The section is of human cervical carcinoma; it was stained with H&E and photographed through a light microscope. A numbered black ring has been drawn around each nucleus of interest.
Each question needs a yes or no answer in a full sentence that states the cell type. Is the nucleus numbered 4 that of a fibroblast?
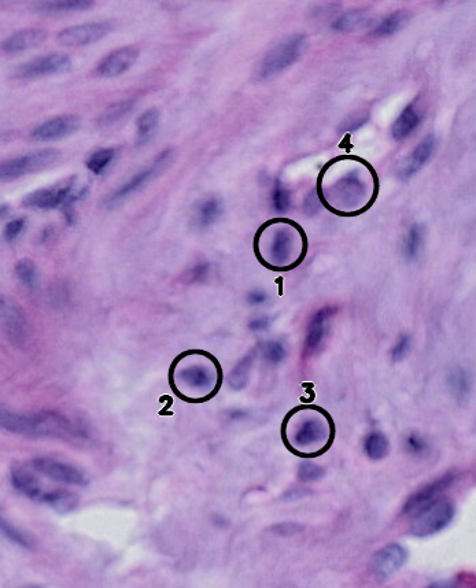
No, cell 4 counts as an endothelial cell rather than as a fibroblast.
